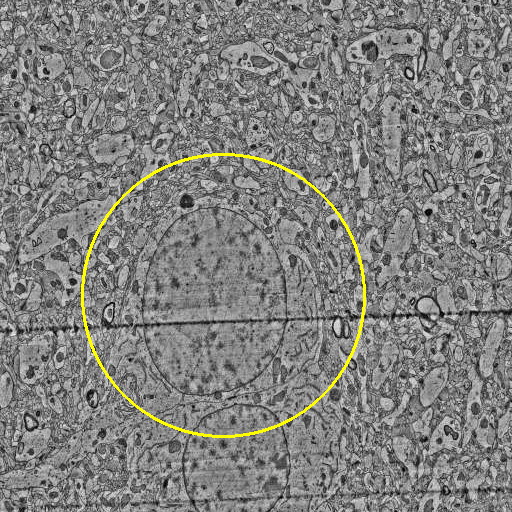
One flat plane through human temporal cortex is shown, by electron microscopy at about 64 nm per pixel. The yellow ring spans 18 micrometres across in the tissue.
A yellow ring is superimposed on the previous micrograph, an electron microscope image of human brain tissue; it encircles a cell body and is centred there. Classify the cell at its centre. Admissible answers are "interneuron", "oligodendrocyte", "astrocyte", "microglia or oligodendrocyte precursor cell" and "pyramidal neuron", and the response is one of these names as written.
pyramidal neuron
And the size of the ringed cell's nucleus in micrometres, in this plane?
The nucleus is approximately 12 micrometers long by 9 micrometers wide in this plane.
